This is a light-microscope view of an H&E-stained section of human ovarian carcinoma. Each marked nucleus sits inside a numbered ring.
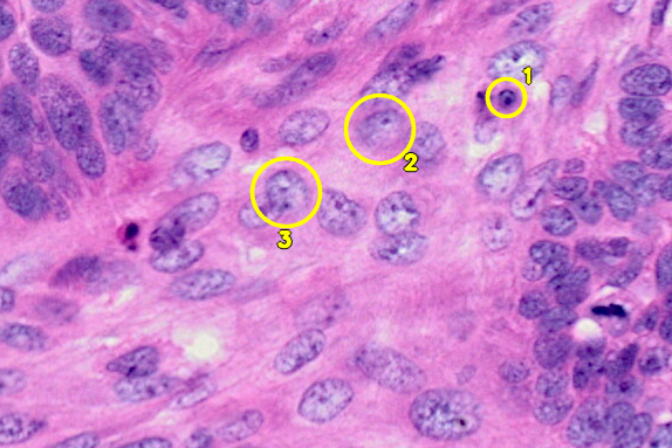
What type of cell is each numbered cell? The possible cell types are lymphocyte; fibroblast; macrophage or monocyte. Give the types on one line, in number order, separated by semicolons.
lymphocyte; fibroblast; fibroblast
